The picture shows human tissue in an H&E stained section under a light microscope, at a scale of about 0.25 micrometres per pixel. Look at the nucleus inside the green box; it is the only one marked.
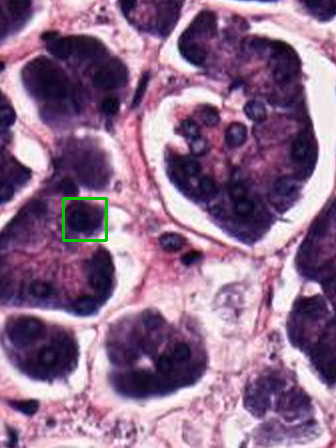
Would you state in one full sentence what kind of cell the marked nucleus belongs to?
The marked nucleus is contained in a pancreatic acinar cell.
